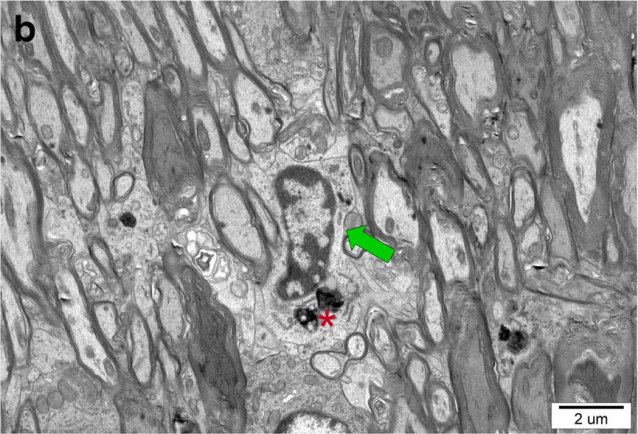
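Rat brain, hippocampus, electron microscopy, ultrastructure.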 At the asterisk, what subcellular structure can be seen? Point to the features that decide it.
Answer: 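The asterisk marks very dark, dense bodies in the cytoplasm below the nucleus.
Hence: lysosomes.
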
